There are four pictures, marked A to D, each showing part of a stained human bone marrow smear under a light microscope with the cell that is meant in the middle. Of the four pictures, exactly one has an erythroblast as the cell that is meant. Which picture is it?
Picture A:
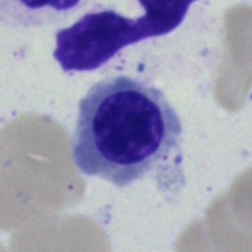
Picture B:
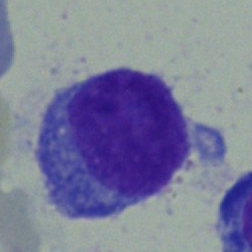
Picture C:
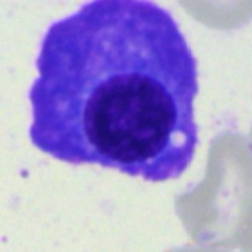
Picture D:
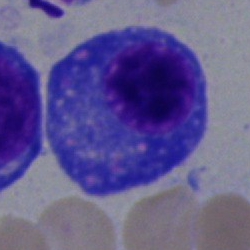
A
